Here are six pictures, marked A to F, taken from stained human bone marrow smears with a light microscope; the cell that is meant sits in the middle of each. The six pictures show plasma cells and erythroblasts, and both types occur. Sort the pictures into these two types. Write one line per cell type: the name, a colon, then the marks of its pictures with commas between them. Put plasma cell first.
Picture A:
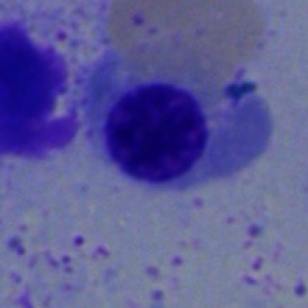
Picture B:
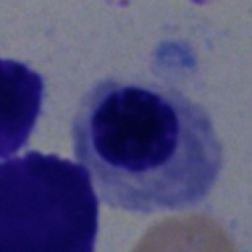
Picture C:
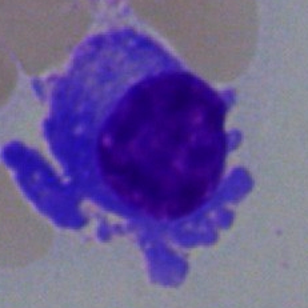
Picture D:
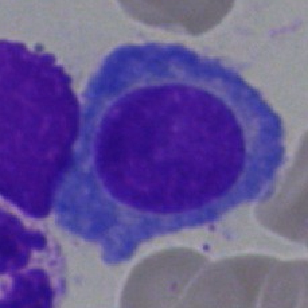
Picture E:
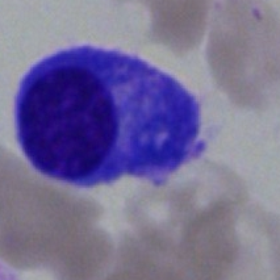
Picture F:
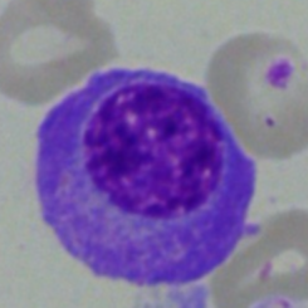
plasma cell: C, D, E, F
erythroblast: A, B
